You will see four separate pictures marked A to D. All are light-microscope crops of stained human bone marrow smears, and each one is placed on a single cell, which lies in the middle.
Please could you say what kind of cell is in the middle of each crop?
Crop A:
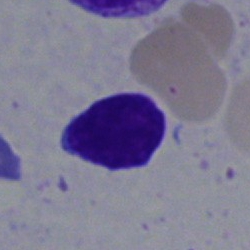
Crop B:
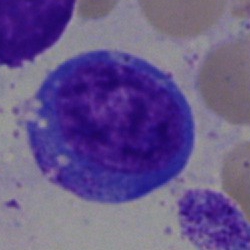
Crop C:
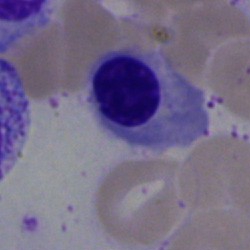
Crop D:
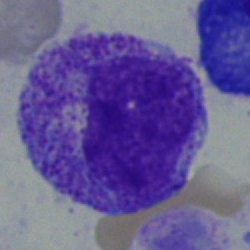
A: lymphocyte
B: blast
C: erythroblast
D: myelocyte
